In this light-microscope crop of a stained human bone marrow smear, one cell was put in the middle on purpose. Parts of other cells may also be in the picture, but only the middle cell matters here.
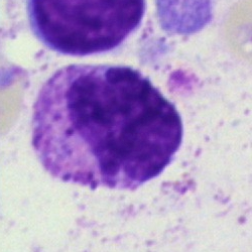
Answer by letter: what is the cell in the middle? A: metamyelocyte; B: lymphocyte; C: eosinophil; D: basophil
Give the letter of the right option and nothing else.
D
